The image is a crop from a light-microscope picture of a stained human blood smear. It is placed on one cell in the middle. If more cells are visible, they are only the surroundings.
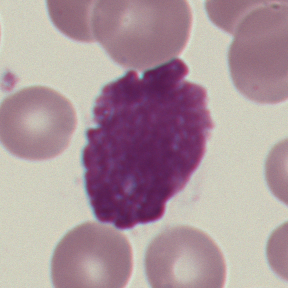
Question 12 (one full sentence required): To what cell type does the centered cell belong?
The crop shows a smudge cell in its centre.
